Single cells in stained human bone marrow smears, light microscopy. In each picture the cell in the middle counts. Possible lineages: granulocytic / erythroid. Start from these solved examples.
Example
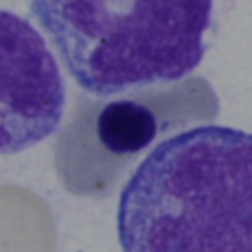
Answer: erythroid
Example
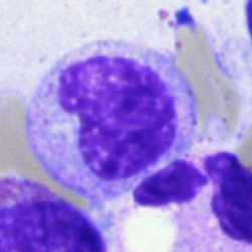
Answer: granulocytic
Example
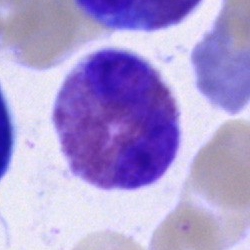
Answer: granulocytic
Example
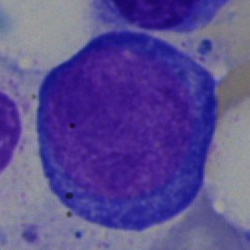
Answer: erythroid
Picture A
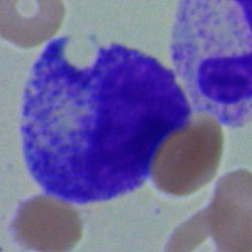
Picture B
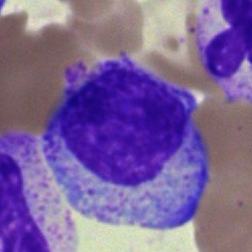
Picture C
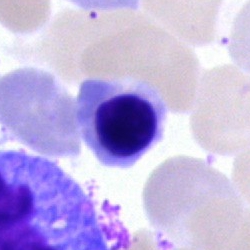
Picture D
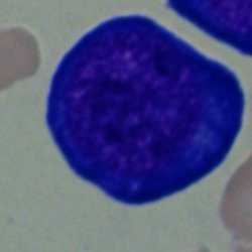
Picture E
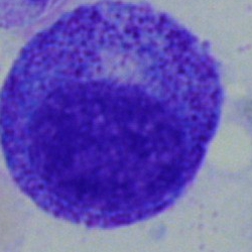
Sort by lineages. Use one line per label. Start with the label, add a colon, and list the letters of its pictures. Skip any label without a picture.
granulocytic: A, B, E
erythroid: C, D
